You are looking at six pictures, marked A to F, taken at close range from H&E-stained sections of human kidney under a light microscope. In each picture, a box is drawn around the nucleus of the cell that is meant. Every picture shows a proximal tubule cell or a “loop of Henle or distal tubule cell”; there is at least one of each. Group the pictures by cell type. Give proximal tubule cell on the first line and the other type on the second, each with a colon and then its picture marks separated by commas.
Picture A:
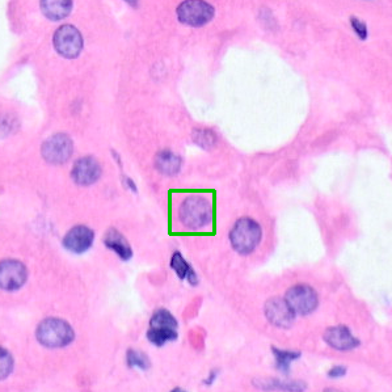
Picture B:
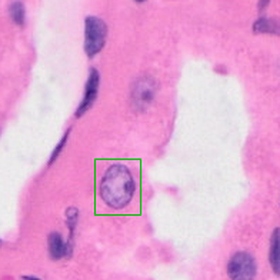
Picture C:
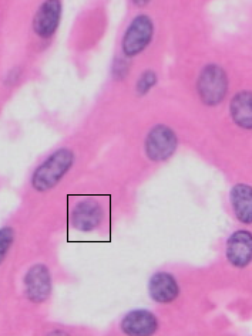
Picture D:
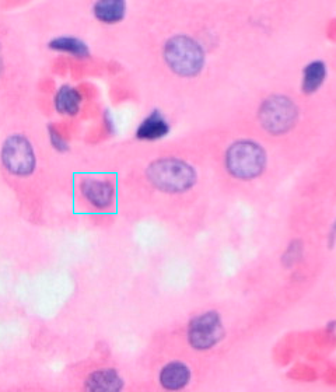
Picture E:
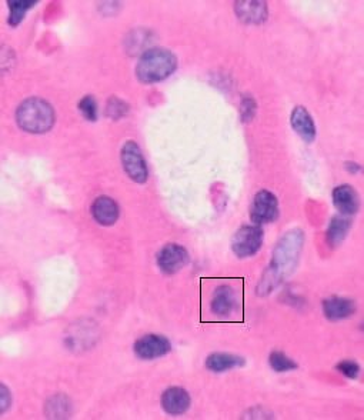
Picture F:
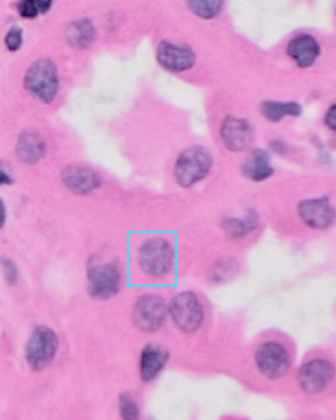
proximal tubule cell: A, B, D
loop of Henle or distal tubule cell: C, E, F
